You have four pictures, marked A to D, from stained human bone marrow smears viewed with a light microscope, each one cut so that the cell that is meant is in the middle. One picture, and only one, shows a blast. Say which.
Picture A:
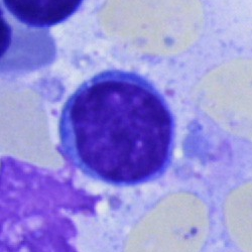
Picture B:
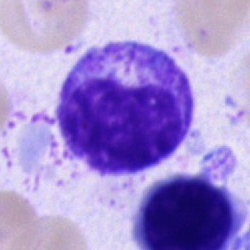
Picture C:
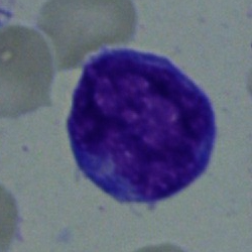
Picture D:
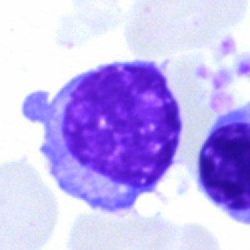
C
